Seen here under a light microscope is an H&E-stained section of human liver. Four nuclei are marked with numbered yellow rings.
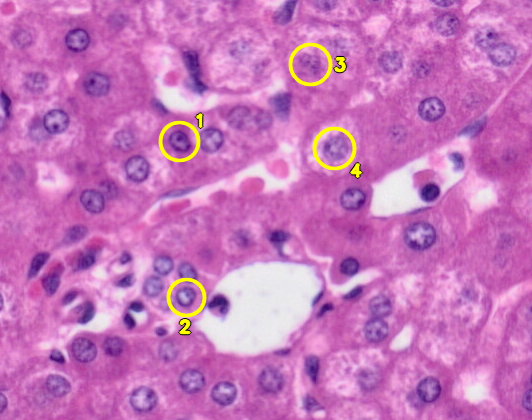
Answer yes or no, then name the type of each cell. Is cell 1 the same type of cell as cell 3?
Yes, along with cell 1, cell 3 is also among the hepatocytes.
